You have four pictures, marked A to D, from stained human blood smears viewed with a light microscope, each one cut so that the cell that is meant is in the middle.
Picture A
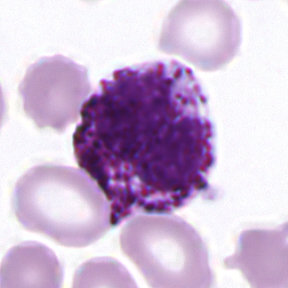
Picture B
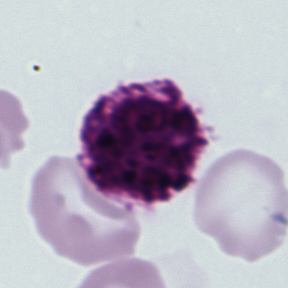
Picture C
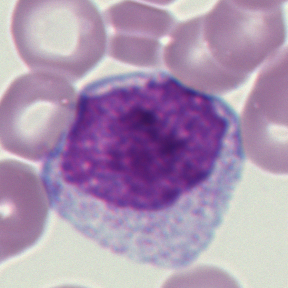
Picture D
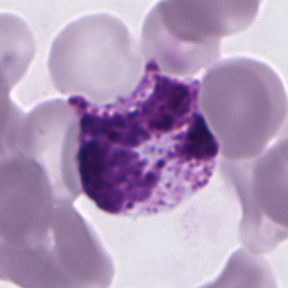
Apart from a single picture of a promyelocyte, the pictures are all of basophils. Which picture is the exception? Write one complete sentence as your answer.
The promyelocyte is the one in picture C.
